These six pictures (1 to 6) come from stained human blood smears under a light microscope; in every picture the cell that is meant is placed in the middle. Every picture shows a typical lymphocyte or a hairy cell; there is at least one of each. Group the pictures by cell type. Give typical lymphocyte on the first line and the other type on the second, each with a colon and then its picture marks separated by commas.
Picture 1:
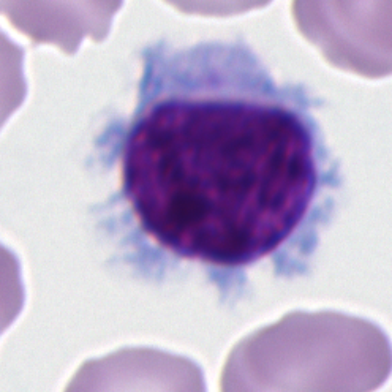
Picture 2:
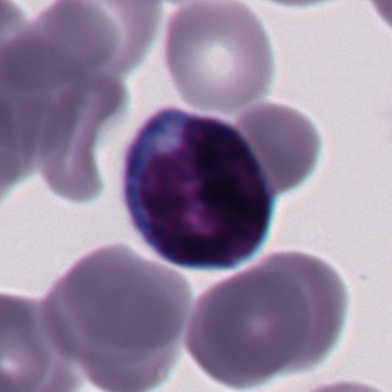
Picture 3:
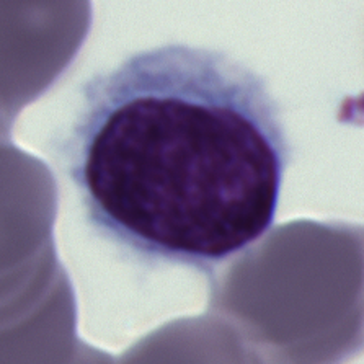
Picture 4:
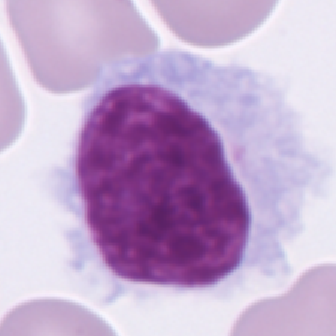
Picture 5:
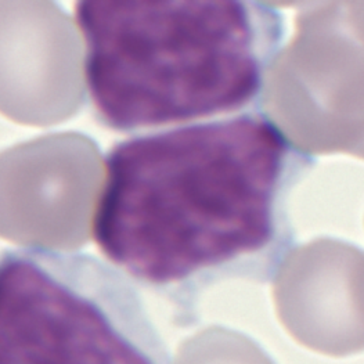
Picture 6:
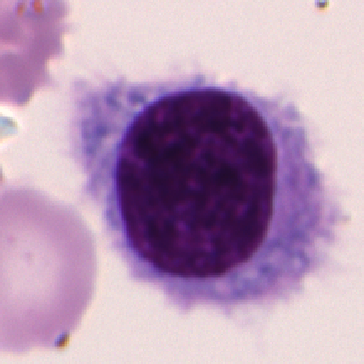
typical lymphocyte: 2, 5
hairy cell: 1, 3, 4, 6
